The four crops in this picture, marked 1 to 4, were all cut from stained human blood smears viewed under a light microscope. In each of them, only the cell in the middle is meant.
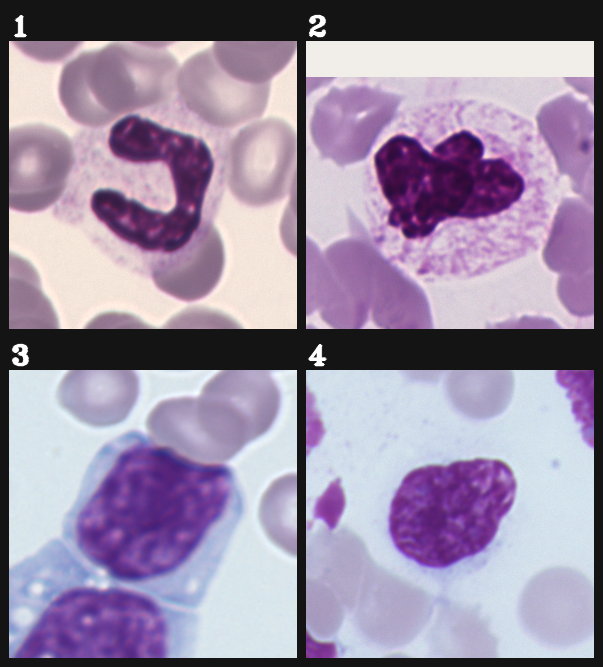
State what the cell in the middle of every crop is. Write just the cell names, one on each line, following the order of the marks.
neutrophil
neutrophil
blast
blast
